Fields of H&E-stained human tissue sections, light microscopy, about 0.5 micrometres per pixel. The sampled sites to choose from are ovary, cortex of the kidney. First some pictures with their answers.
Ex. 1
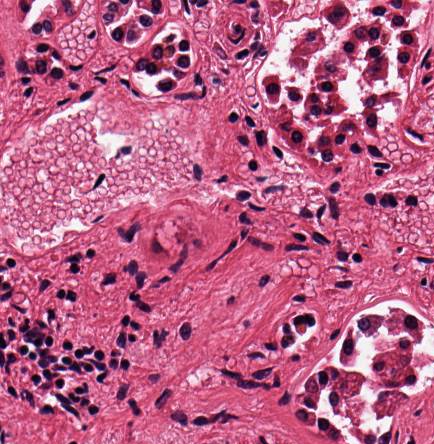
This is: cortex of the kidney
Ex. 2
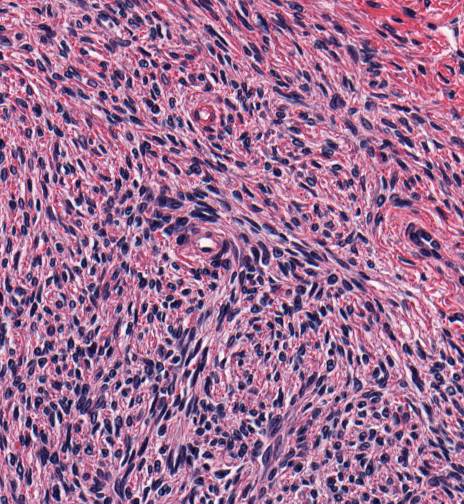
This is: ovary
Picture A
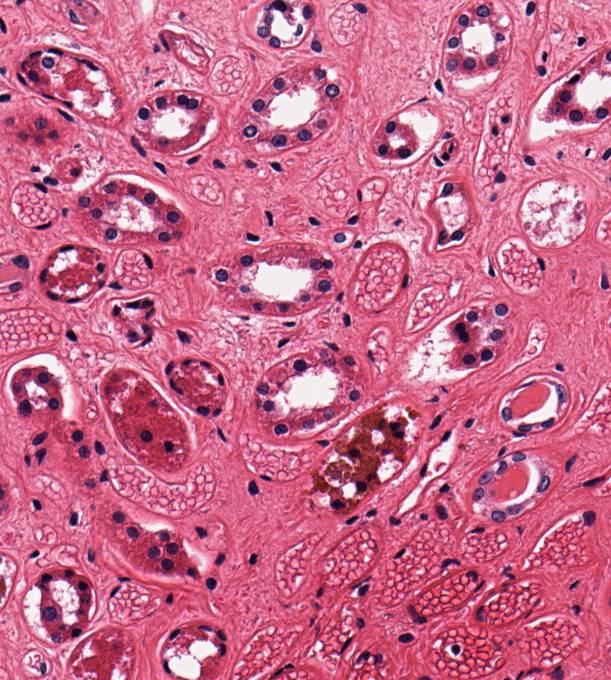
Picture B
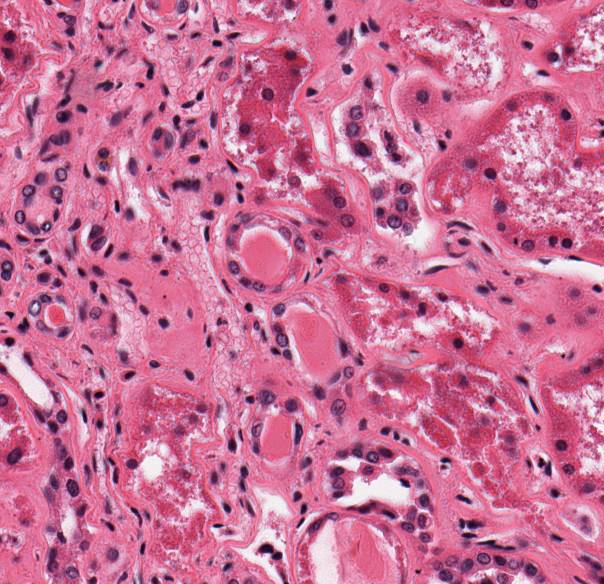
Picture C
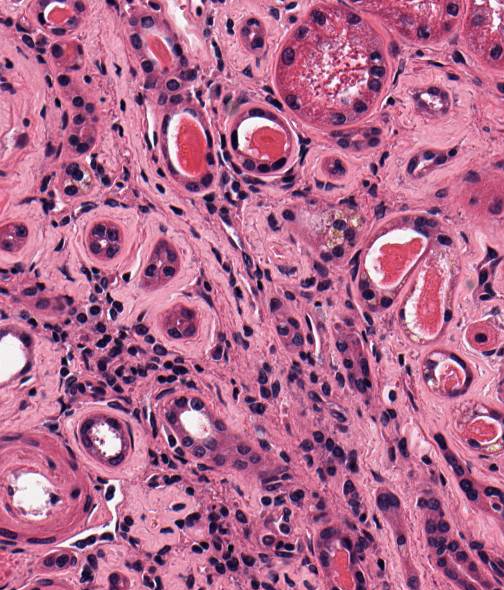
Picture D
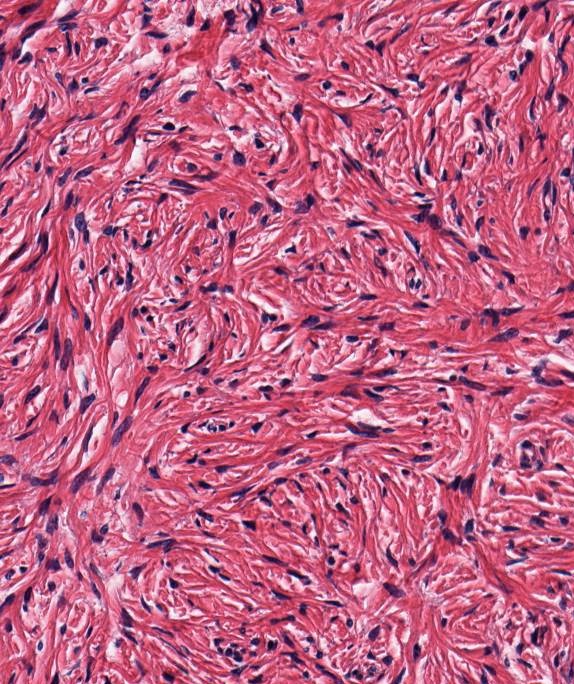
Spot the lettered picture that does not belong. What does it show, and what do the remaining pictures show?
Odd one out: D (ovary). The rest: cortex of the kidney.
